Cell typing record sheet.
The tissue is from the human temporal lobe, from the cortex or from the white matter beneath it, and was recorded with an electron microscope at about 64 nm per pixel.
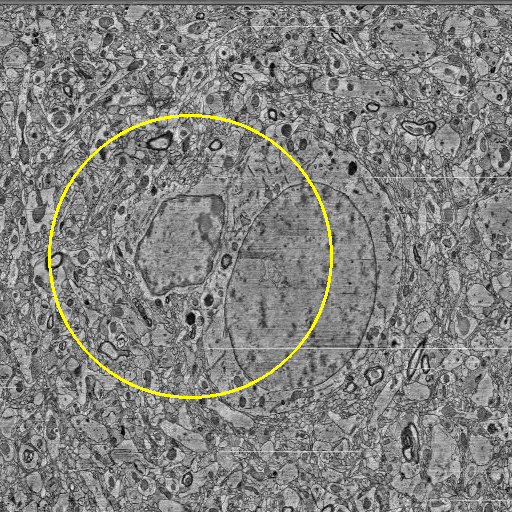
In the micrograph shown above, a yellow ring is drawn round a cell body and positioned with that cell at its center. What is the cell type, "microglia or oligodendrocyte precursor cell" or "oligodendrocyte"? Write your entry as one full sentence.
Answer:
The cell body at the center of the ring belongs to a microglial cell or oligodendrocyte precursor cell.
